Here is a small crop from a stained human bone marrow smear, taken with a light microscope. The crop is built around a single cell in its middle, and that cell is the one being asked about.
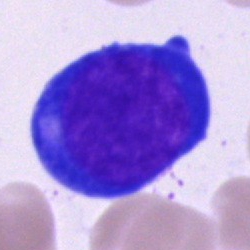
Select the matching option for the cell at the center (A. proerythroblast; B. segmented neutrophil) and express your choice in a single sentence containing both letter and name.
The central cell is a proerythroblast, which makes option A the right answer.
